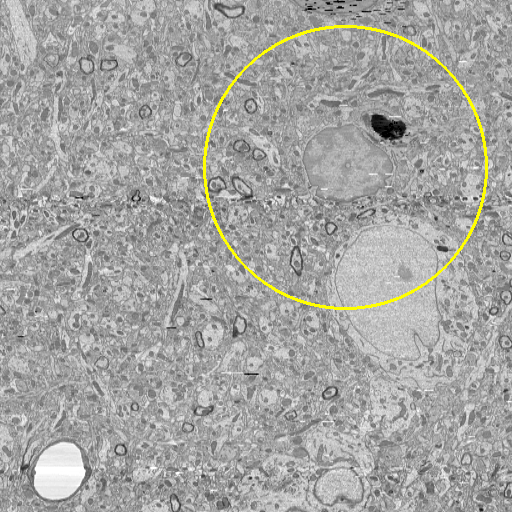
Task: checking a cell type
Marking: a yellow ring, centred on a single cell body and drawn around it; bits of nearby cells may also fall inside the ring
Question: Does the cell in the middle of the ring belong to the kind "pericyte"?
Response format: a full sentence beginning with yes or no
No, the cell marked at the ring's centre in the picture is of a different kind.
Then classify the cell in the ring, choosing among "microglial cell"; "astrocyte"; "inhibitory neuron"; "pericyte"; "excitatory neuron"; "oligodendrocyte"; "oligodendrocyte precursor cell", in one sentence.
It is a microglial cell at the centre of the ring.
